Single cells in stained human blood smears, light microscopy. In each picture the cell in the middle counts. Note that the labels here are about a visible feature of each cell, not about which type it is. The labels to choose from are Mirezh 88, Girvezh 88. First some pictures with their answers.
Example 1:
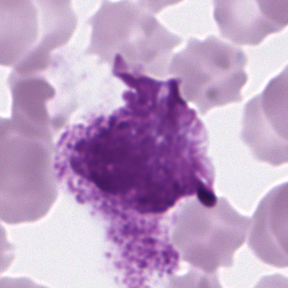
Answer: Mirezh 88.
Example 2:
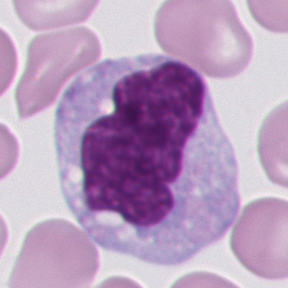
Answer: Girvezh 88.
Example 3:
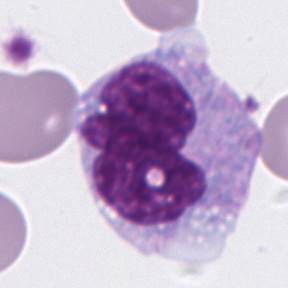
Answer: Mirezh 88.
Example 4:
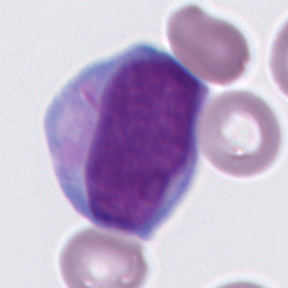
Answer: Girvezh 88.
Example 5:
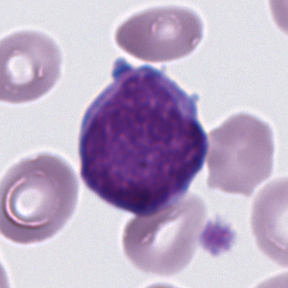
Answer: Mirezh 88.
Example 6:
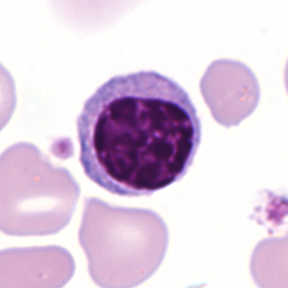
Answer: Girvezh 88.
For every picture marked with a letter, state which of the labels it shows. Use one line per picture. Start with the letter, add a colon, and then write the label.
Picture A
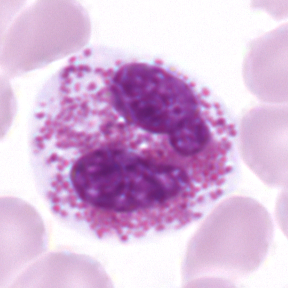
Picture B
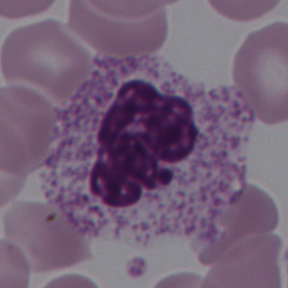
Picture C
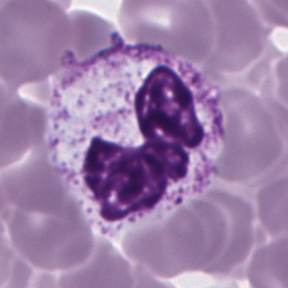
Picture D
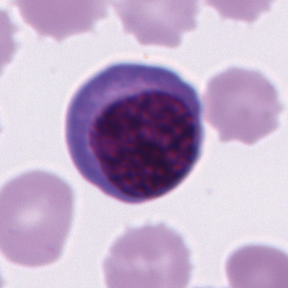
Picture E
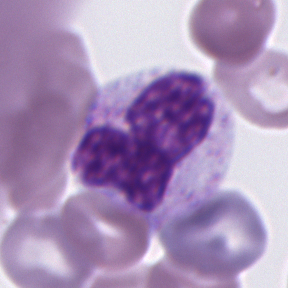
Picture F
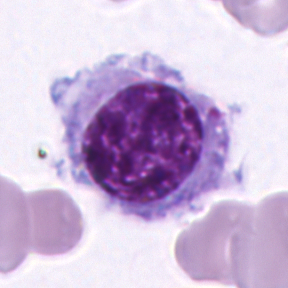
A: Girvezh 88.
B: Mirezh 88.
C: Mirezh 88.
D: Girvezh 88.
E: Girvezh 88.
F: Mirezh 88.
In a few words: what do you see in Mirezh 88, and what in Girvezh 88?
Mirezh 88: ragged outline or projections; Girvezh 88: smooth outline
